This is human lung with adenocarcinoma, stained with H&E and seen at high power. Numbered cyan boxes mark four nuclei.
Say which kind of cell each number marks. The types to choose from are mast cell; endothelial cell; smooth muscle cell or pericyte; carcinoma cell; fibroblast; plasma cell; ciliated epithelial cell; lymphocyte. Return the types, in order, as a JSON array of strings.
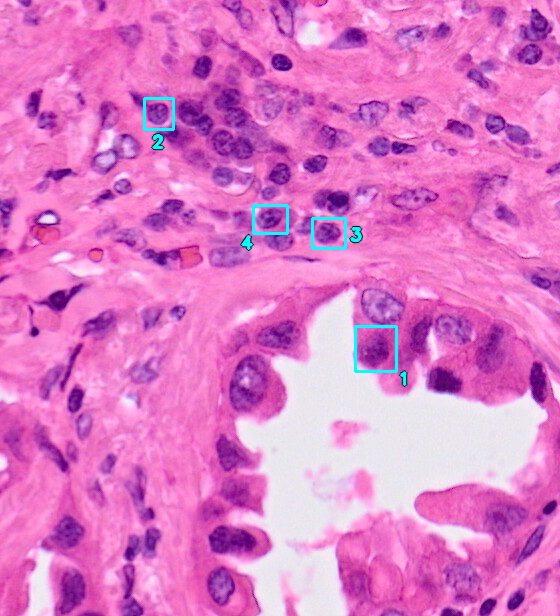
["carcinoma cell", "lymphocyte", "lymphocyte", "plasma cell"]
